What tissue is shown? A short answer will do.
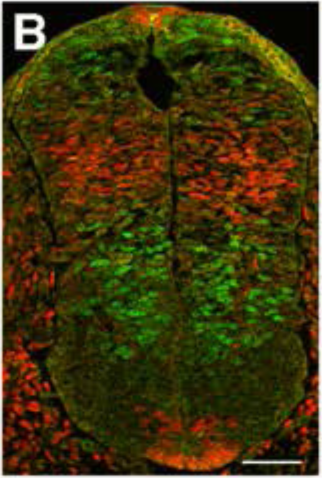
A: Neural tube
